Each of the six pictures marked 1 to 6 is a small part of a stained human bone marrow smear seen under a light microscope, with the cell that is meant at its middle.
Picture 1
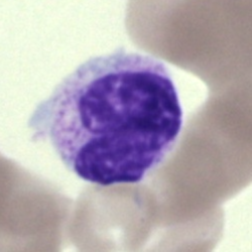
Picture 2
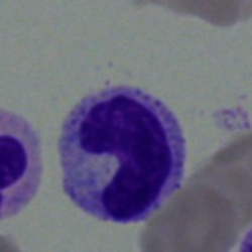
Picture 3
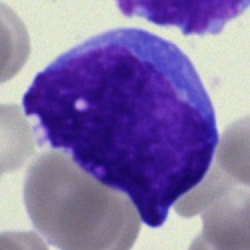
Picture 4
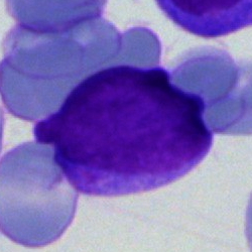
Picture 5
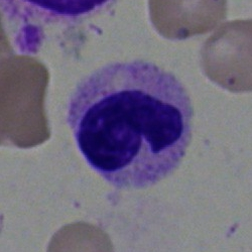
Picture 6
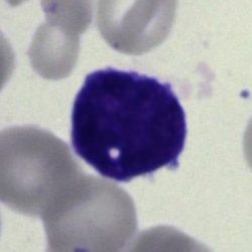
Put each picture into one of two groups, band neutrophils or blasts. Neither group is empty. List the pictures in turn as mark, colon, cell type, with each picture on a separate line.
1: band neutrophil
2: band neutrophil
3: blast
4: blast
5: band neutrophil
6: blast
